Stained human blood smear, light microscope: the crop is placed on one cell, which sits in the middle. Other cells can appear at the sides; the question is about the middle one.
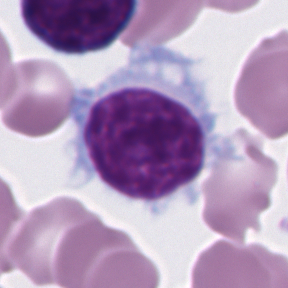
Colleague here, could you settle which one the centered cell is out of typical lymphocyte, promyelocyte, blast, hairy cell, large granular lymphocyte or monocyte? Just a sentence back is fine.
Among the cells in view, the one in the middle is a hairy cell.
